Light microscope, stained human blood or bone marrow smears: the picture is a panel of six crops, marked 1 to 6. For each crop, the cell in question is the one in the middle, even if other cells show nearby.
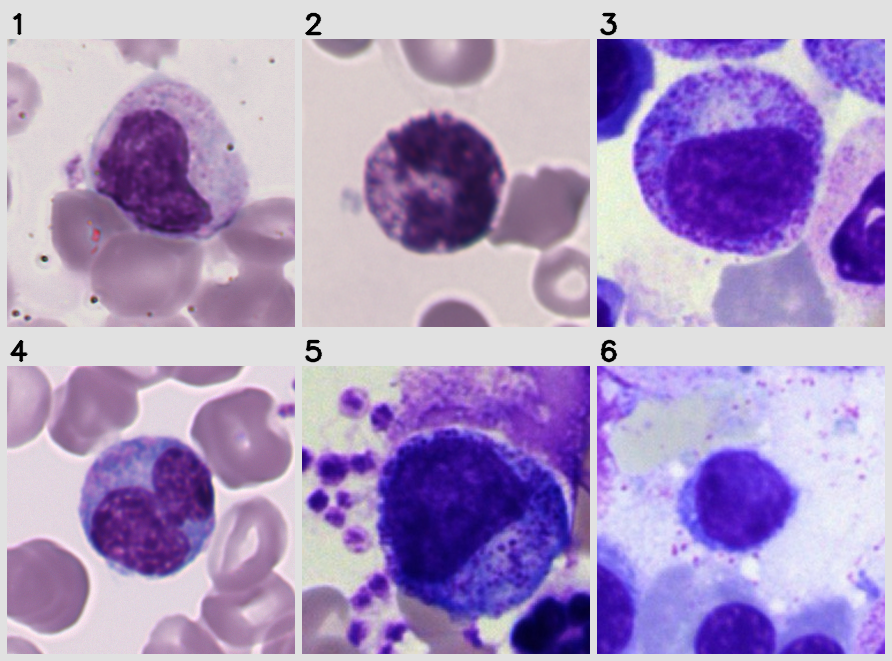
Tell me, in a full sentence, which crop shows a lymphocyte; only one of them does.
Crop 6 shows a lymphocyte, and no other crop does.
